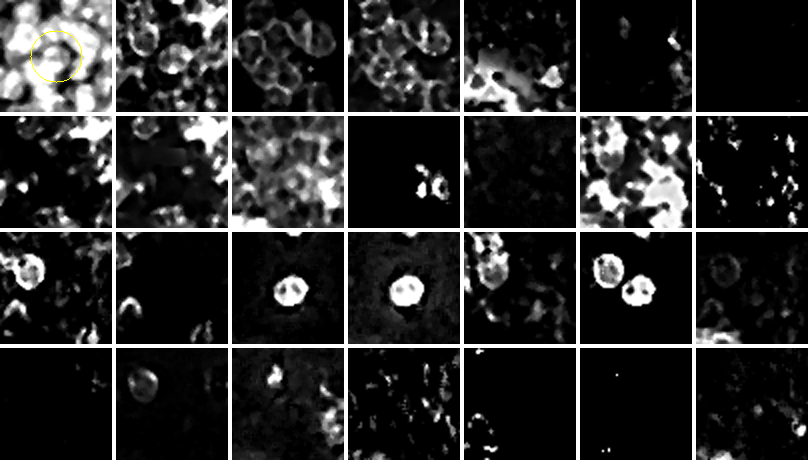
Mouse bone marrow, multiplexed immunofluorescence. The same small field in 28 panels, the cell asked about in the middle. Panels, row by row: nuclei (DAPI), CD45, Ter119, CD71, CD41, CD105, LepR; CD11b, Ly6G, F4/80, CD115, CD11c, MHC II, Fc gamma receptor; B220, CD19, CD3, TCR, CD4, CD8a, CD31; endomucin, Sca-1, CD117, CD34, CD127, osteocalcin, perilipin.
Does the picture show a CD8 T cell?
Yes.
